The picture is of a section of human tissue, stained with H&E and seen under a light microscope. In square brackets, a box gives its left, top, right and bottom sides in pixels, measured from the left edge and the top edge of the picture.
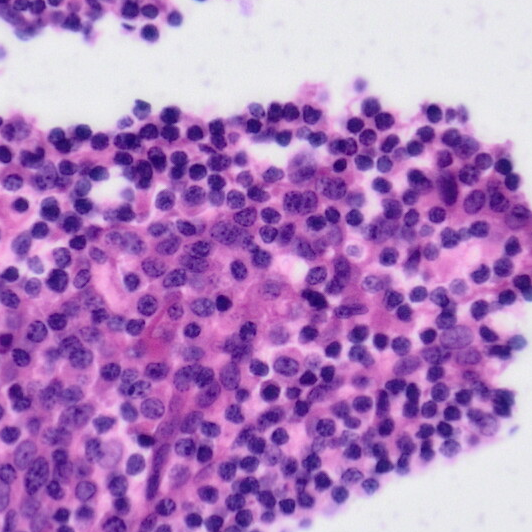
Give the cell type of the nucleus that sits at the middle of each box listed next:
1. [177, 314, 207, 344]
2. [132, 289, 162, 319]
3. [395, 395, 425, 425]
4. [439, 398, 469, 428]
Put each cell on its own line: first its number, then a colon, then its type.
1: plasma cell
2: plasma cell
3: small lymphocyte
4: small lymphocyte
